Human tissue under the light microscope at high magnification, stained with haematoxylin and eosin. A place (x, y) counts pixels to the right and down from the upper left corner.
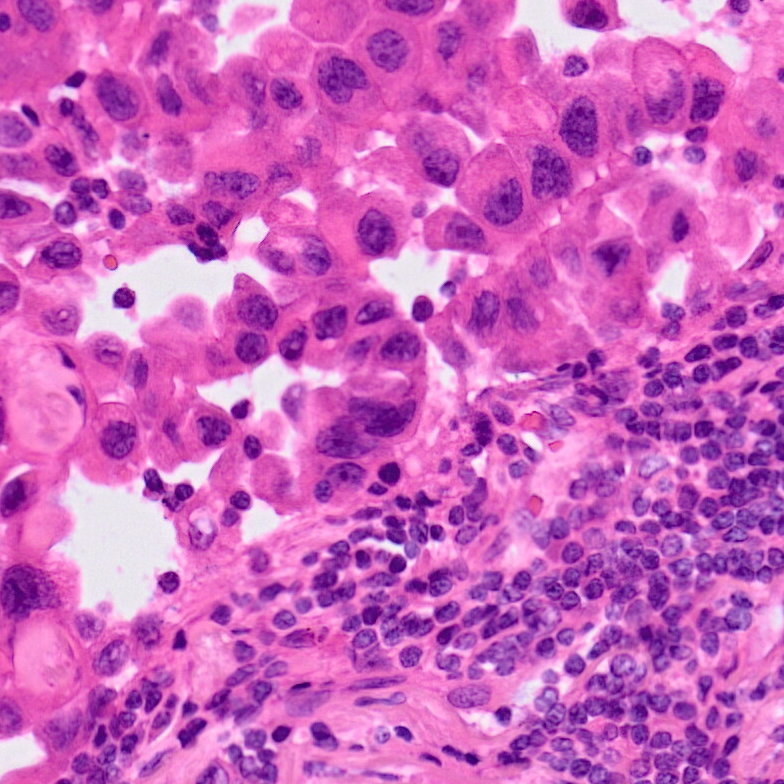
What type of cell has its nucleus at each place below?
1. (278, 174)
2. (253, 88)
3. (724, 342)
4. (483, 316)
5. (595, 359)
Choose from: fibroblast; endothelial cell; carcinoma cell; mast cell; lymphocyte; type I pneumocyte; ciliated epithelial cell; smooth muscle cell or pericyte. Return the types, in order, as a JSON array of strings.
["carcinoma cell", "carcinoma cell", "lymphocyte", "carcinoma cell", "lymphocyte"]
